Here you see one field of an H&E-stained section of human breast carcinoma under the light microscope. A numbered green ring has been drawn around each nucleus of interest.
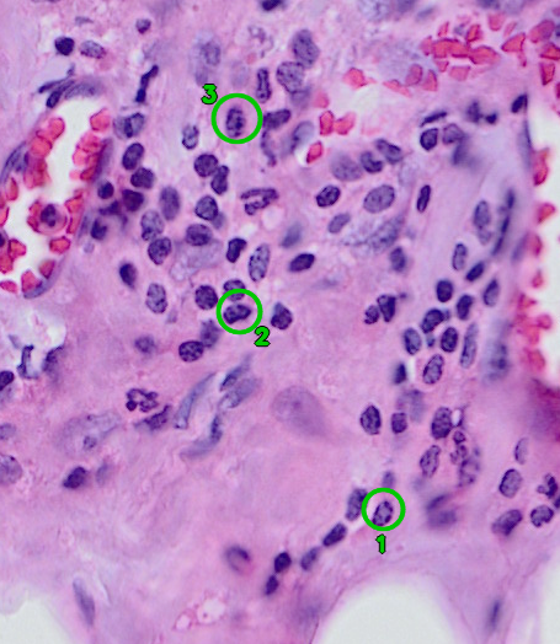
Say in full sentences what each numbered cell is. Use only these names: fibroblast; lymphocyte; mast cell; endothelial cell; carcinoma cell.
Cells 1 and 3 are mast cells. Cell 2 is a lymphocyte.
